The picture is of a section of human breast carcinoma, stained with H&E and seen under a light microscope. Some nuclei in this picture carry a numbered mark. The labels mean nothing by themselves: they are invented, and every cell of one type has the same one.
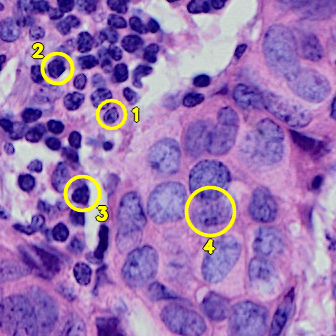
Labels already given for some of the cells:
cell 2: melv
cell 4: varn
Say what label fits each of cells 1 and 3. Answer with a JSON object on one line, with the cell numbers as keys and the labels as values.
{"1": "melv", "3": "melv"}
